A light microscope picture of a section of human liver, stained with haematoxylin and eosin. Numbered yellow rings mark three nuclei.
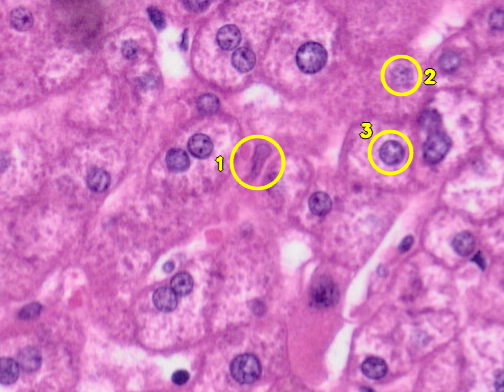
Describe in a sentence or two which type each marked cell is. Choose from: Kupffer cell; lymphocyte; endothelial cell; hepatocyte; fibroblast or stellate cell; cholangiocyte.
Cell 1 is a Kupffer cell, cell 2 is a hepatocyte and cell 3 is a hepatocyte.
